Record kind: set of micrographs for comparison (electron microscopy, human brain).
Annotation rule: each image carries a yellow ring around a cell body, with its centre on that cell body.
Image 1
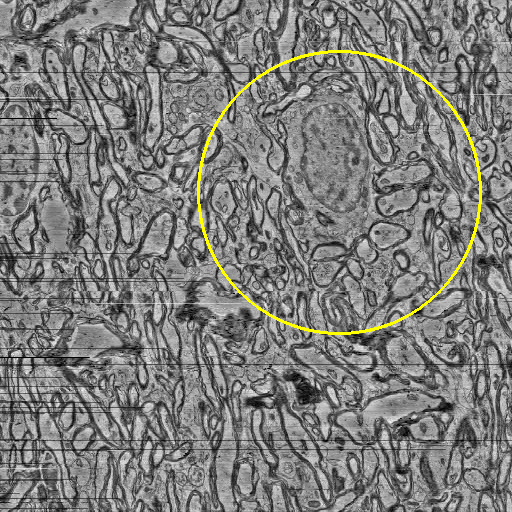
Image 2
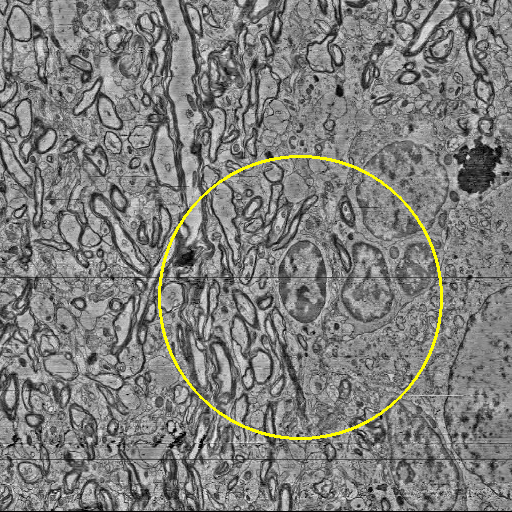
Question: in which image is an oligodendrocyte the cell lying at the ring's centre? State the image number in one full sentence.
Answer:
In image 1, the ring is centred on the cell in question.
